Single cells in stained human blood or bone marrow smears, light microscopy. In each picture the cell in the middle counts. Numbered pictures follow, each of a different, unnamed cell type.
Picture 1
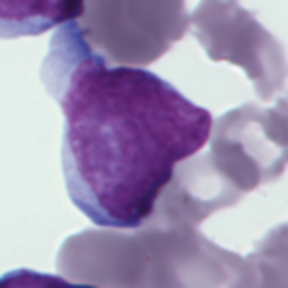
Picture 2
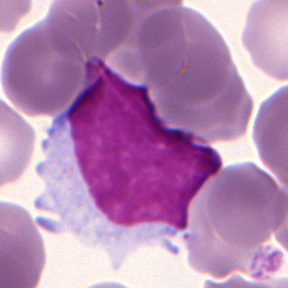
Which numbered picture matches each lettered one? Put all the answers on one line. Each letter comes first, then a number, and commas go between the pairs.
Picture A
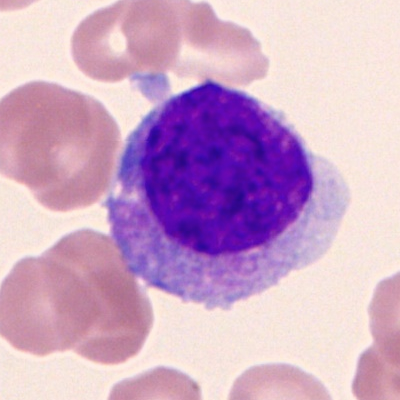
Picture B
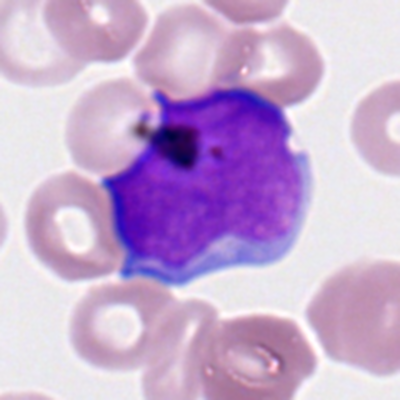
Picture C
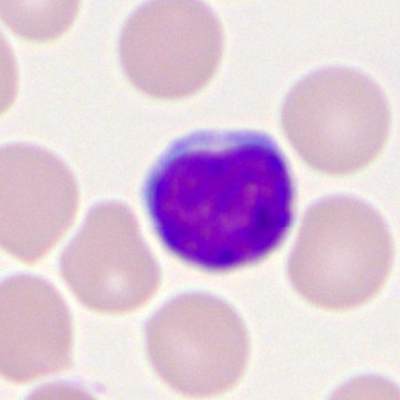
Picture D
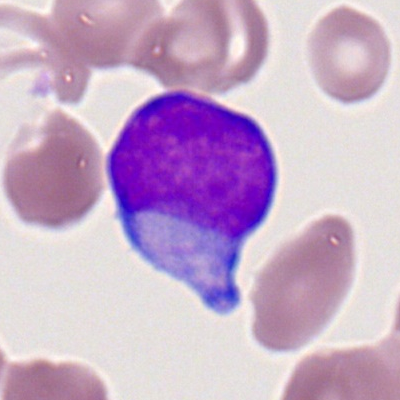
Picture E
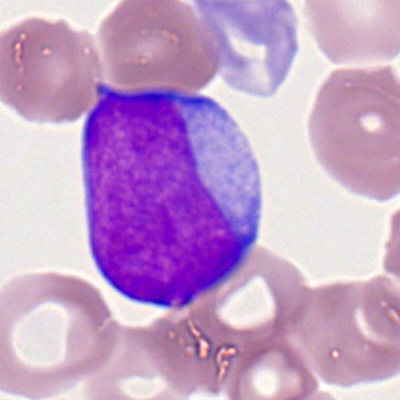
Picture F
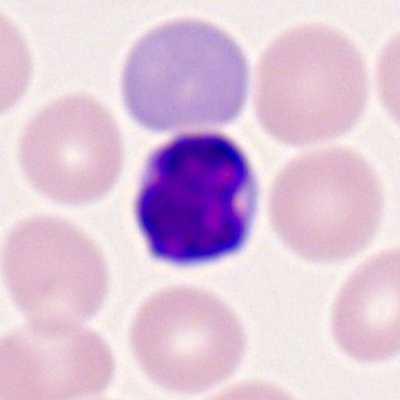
A 1, B 1, C 2, D 1, E 1, F 2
